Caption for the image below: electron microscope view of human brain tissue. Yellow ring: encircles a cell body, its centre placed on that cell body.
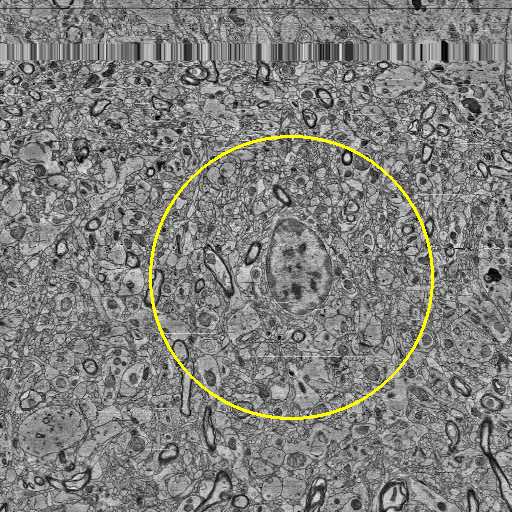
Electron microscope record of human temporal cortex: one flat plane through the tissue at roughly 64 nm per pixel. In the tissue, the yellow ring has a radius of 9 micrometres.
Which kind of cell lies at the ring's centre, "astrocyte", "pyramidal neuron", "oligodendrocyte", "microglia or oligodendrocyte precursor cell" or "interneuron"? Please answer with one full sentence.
The picture shows a microglial cell or oligodendrocyte precursor cell at the centre of the yellow ring.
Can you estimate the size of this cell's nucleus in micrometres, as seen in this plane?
The nucleus is approximately 6 micrometres long but only about 4 wide, clearly longer than it is wide in this plane.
